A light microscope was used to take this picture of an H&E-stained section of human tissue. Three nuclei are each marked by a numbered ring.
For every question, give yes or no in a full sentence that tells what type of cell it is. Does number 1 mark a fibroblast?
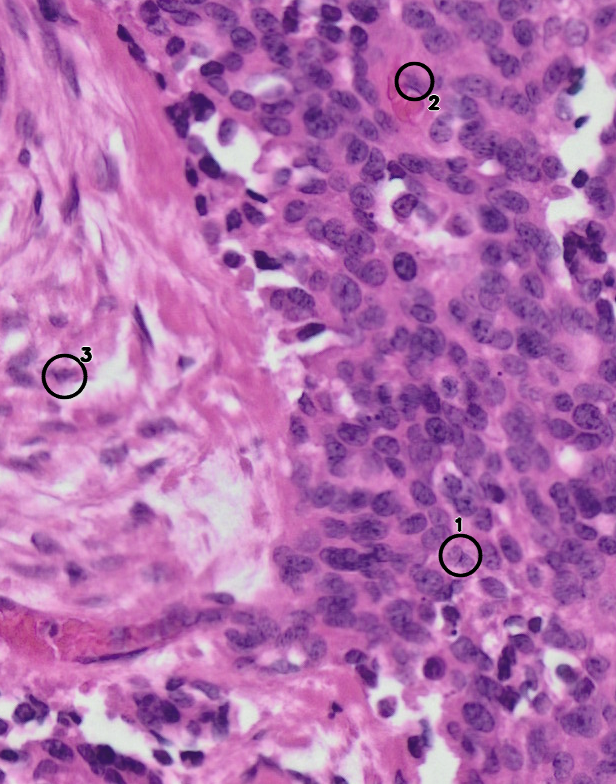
No, calling cell 1 a fibroblast is incorrect; it is a macrophage or monocyte.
